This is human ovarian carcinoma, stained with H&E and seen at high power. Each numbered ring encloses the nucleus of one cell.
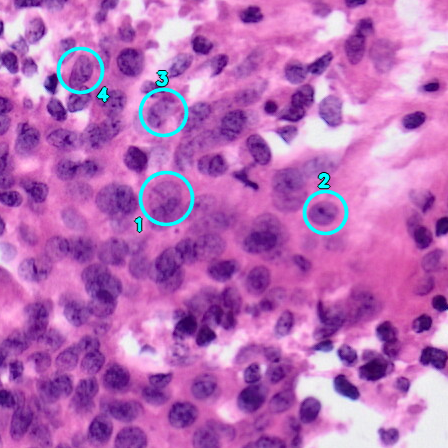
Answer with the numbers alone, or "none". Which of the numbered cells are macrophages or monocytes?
2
